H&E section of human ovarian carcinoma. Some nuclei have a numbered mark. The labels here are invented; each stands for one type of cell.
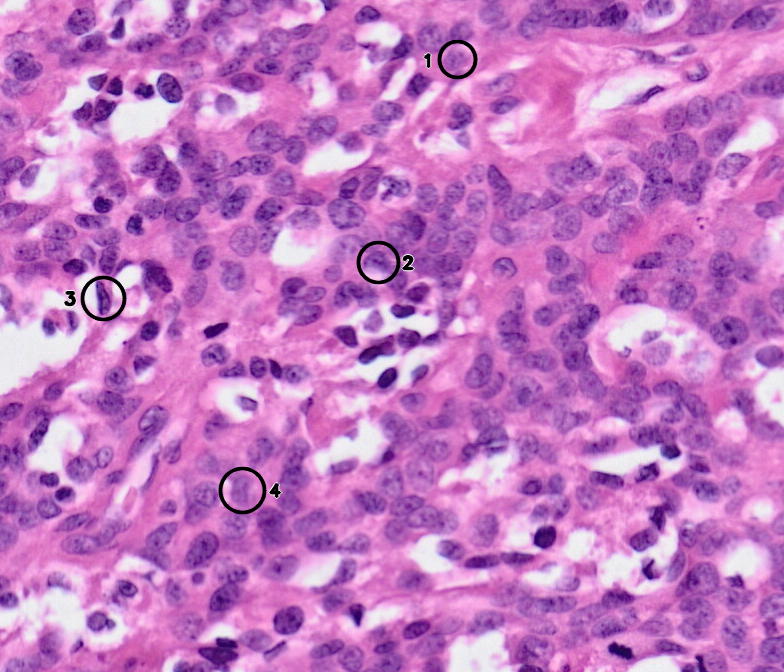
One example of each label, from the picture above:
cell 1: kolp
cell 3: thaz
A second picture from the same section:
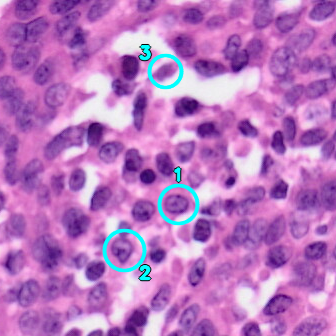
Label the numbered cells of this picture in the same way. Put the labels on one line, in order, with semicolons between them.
thaz; thaz; kolp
